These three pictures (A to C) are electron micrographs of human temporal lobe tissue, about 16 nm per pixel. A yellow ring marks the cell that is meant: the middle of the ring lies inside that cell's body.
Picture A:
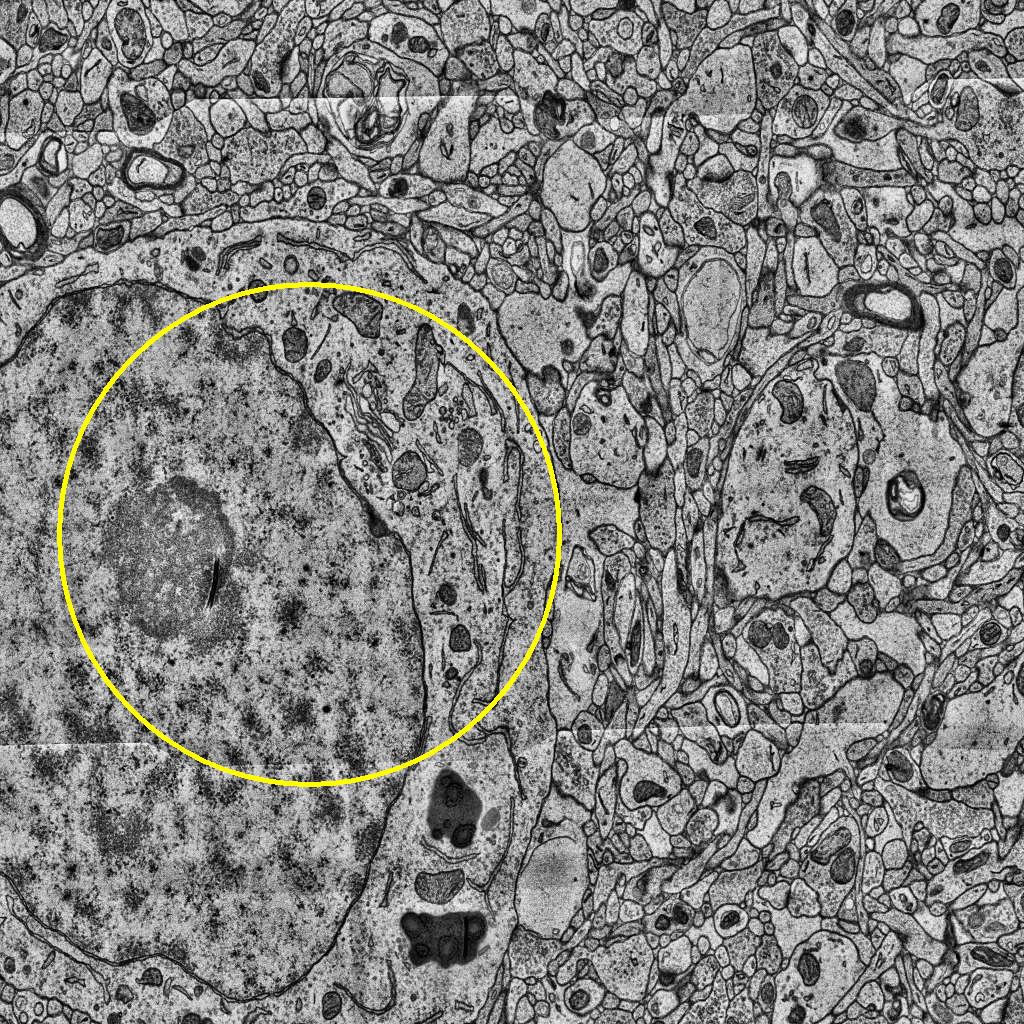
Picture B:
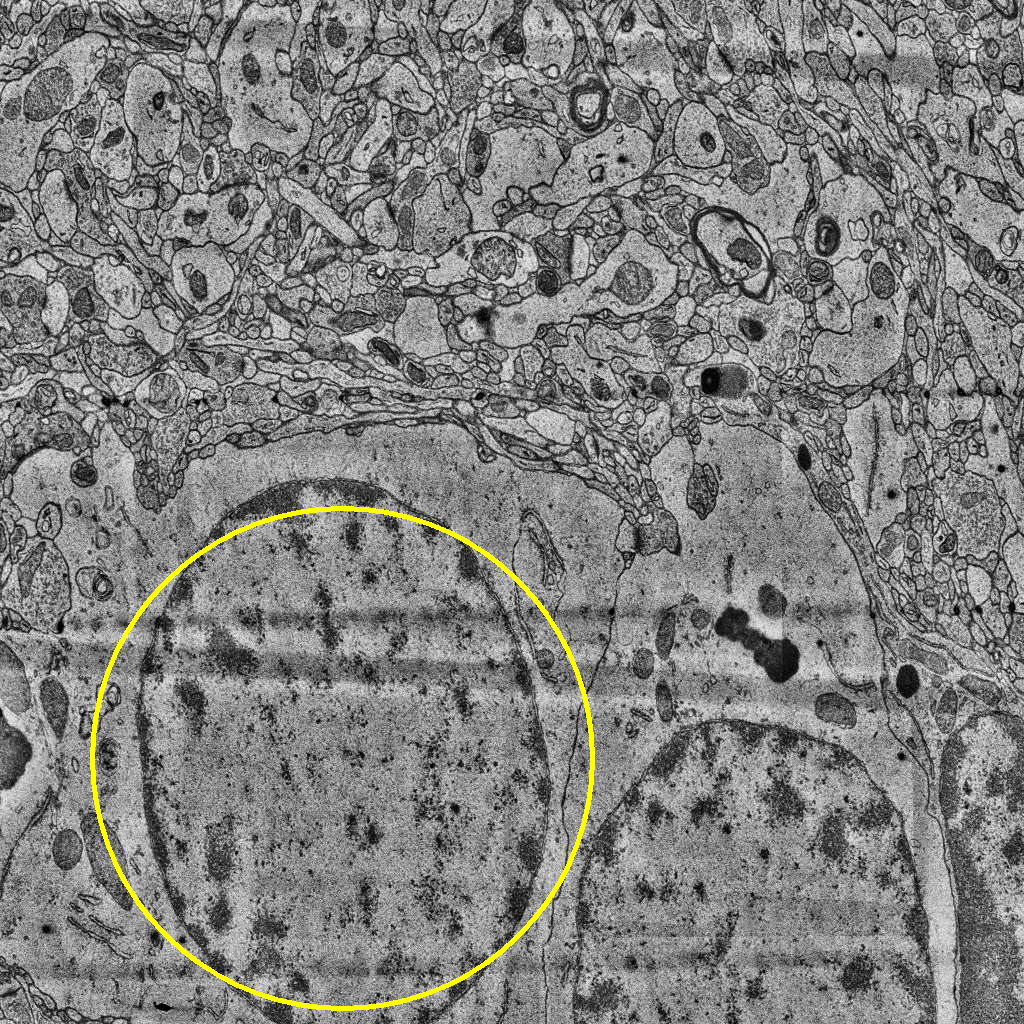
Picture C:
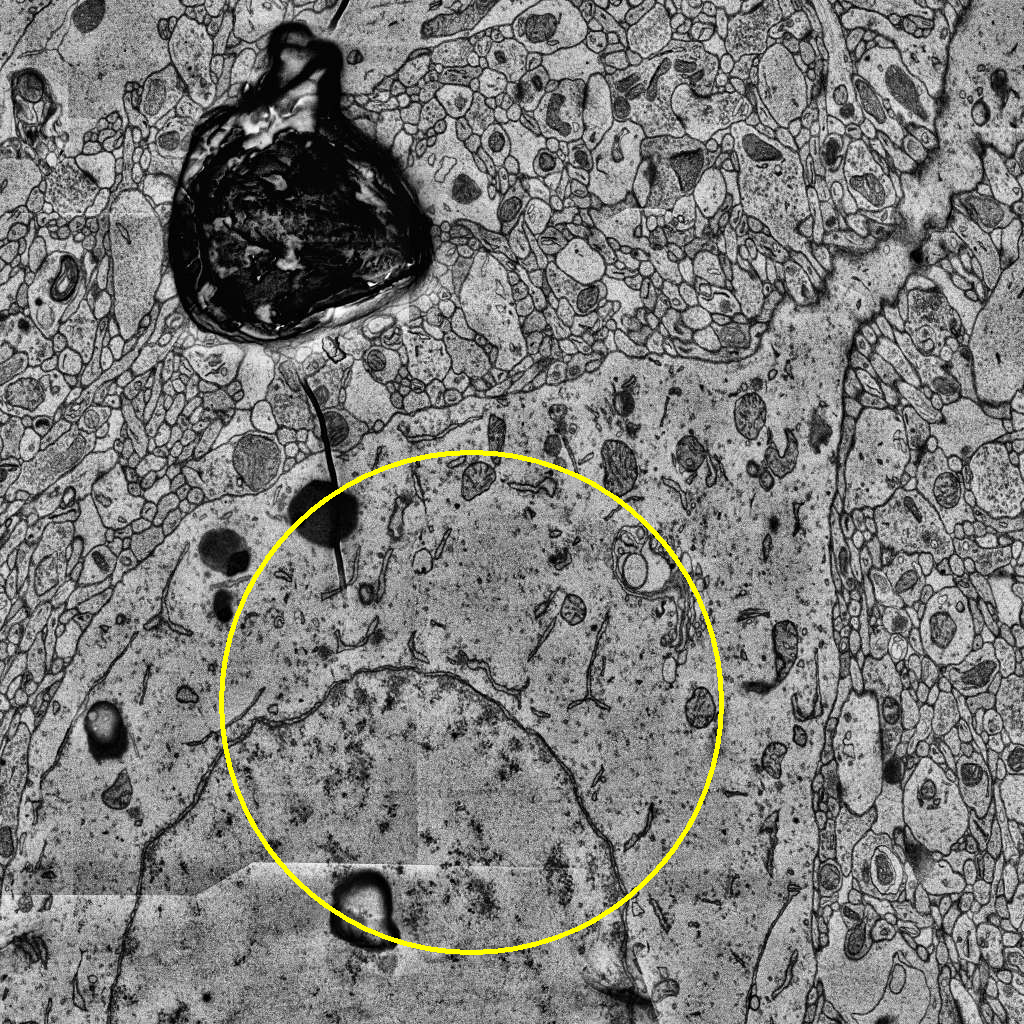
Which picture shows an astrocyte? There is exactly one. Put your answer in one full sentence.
The cell in picture B is the astrocyte.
